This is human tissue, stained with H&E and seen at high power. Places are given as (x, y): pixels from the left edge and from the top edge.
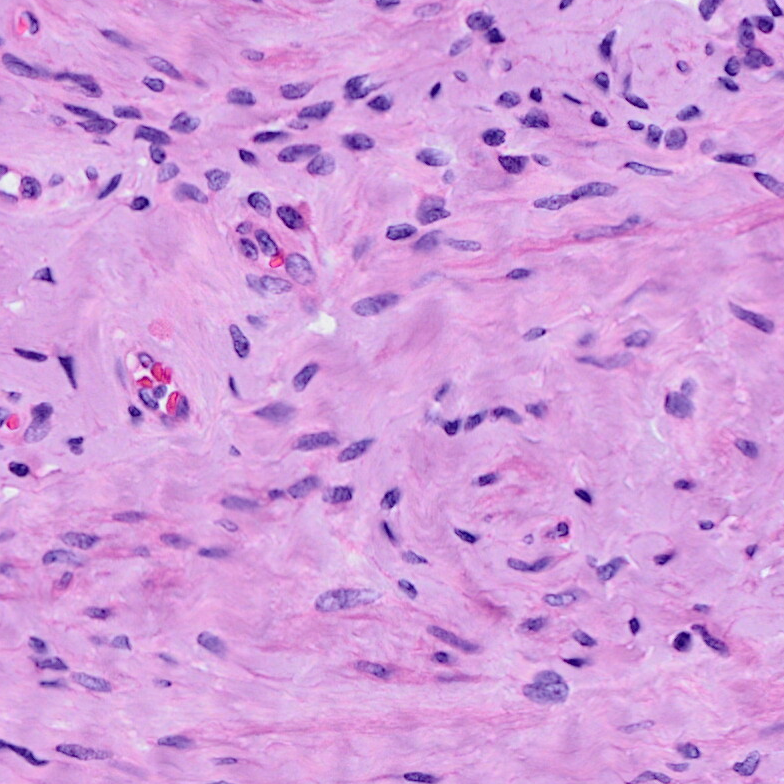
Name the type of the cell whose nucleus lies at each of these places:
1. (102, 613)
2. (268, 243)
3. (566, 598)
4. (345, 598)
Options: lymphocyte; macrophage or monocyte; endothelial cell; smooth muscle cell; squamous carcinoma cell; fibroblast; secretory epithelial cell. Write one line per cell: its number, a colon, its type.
1: smooth muscle cell
2: endothelial cell
3: smooth muscle cell
4: smooth muscle cell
